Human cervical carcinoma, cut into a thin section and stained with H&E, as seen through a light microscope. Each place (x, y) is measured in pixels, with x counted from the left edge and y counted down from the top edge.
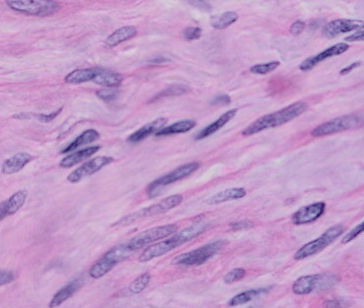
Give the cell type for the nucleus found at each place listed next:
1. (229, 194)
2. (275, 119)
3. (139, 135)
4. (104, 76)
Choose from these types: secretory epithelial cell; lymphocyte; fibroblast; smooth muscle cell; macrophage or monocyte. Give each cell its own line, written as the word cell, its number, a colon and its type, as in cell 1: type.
cell 1: smooth muscle cell
cell 2: smooth muscle cell
cell 3: fibroblast
cell 4: smooth muscle cell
